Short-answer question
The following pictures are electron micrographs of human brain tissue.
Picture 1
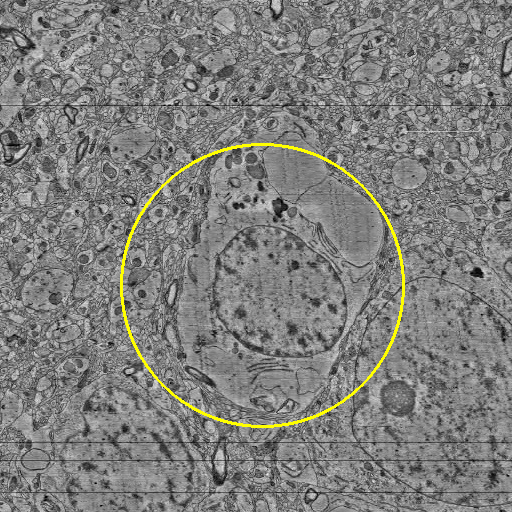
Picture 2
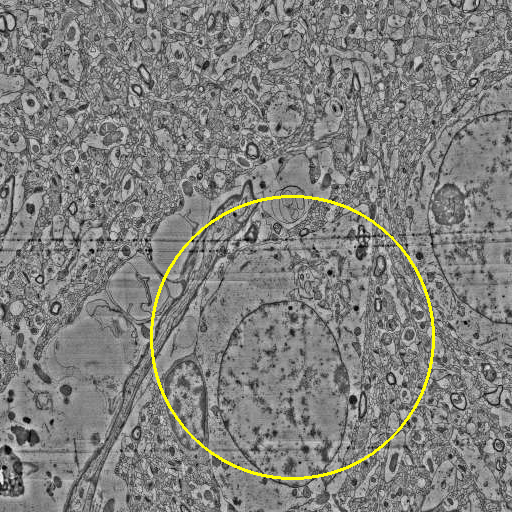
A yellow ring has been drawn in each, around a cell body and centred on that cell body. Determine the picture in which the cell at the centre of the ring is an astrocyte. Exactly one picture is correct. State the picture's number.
1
